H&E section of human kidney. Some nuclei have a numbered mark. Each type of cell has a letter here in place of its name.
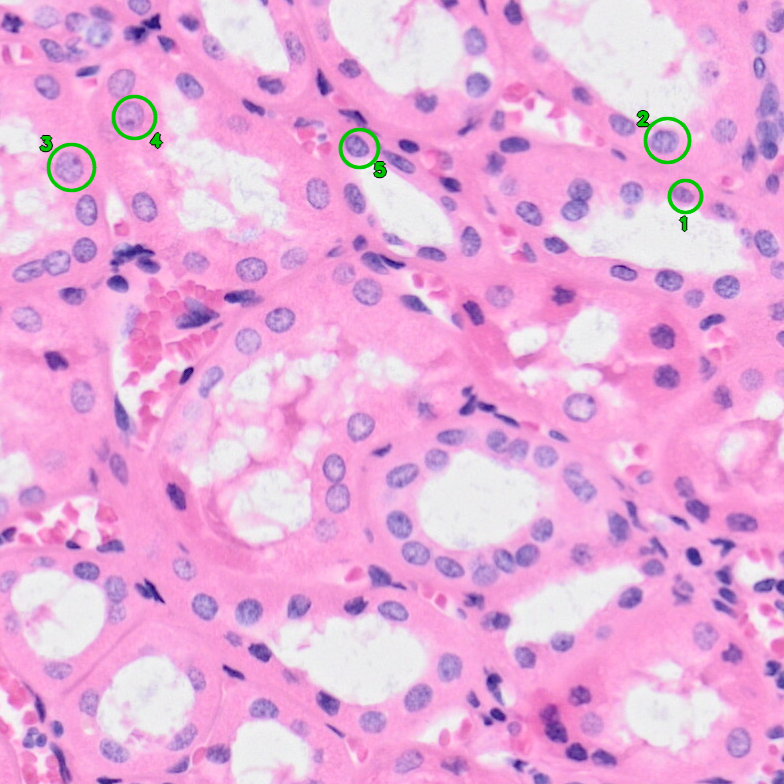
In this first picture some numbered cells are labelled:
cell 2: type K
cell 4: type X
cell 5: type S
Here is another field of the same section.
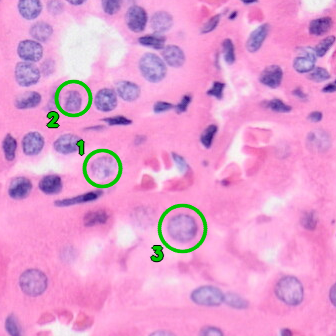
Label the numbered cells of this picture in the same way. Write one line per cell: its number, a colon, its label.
1: type K
2: type S
3: type X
